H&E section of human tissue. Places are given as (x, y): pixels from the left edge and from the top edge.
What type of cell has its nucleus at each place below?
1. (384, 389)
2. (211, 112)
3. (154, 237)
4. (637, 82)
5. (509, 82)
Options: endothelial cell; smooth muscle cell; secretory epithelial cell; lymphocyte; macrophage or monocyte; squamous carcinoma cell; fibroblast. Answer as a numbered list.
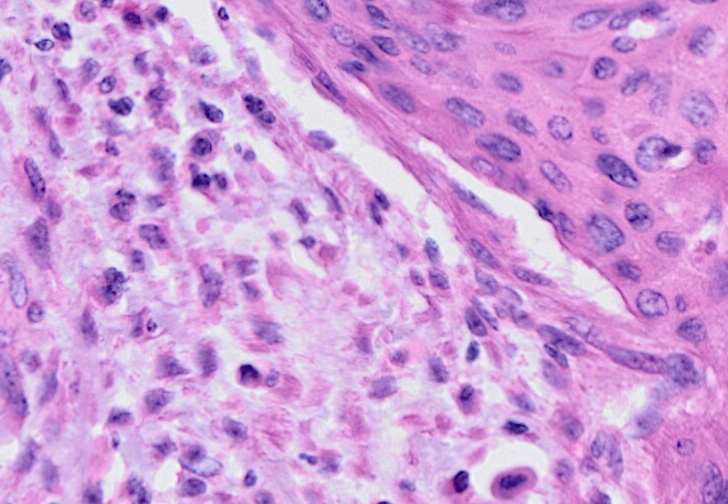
1. fibroblast
2. lymphocyte
3. macrophage or monocyte
4. squamous carcinoma cell
5. squamous carcinoma cell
